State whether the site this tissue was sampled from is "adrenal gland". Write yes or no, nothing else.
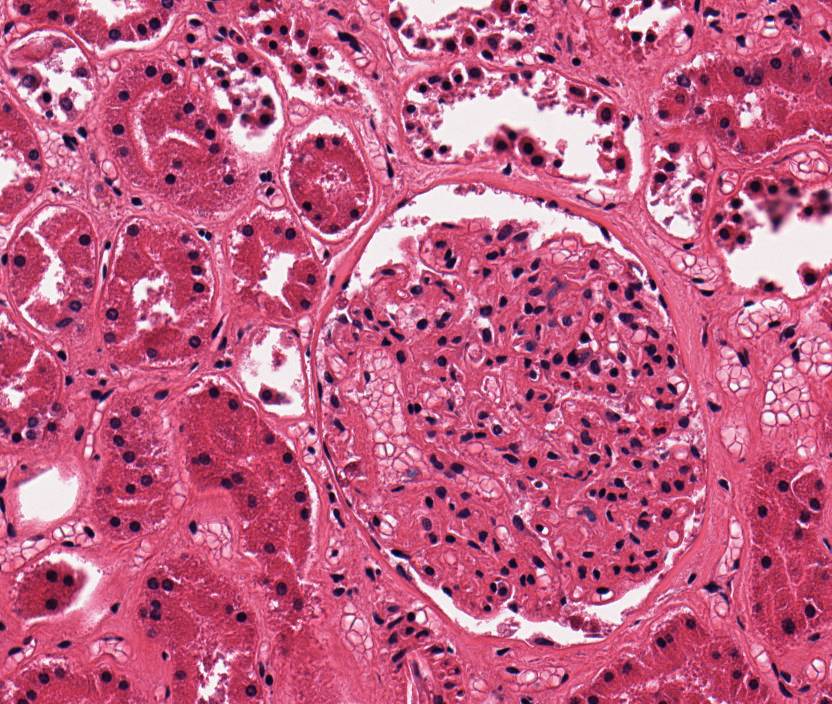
no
